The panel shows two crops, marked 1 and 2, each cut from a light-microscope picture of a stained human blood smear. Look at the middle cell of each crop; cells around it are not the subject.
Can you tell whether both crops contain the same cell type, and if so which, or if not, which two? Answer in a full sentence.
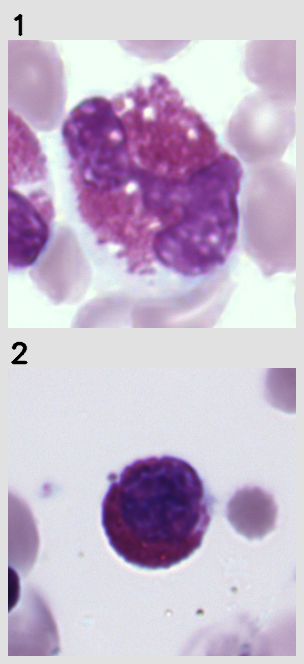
Yes, both crops do show eosinophils in the middle.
